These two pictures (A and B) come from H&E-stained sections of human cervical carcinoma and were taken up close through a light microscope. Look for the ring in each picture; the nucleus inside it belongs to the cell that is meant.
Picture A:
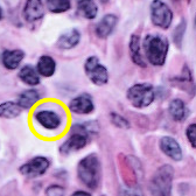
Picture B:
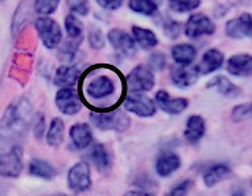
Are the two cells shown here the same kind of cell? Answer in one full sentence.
Yes, the two pictures both show lymphocytes.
